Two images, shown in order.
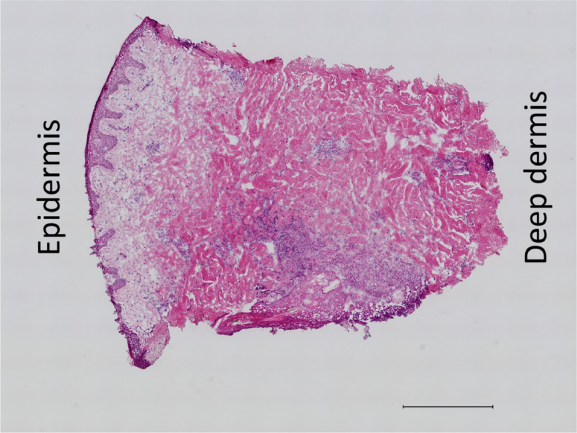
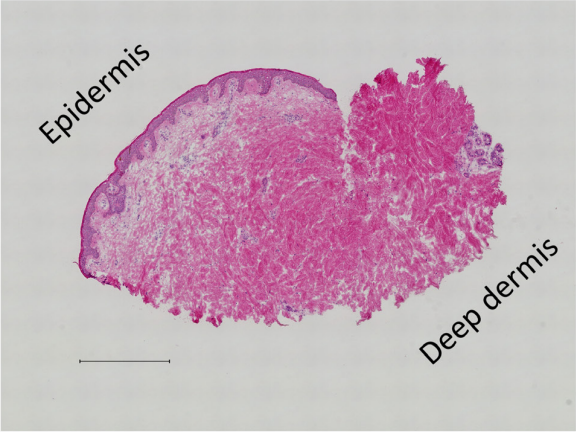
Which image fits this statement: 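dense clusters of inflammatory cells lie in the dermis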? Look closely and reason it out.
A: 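Second image: the dermis is mostly pink collagen with few purple nuclear clusters. The answer: the first image.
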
